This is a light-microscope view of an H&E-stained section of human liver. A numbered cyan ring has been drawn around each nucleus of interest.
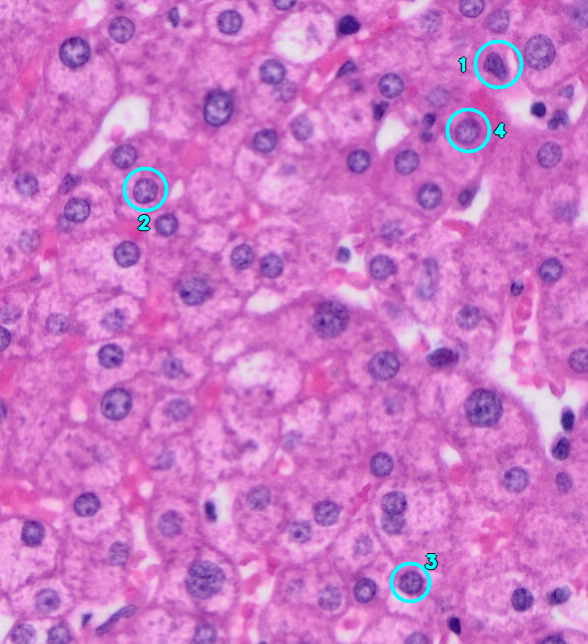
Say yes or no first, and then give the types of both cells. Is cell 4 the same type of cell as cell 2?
Yes, the cells bearing numbers 4 and 2 are both hepatocytes.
